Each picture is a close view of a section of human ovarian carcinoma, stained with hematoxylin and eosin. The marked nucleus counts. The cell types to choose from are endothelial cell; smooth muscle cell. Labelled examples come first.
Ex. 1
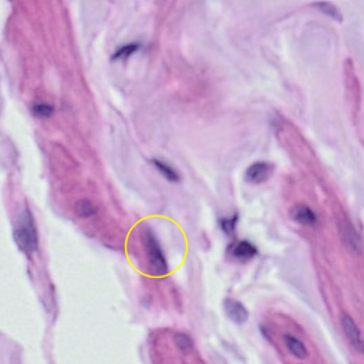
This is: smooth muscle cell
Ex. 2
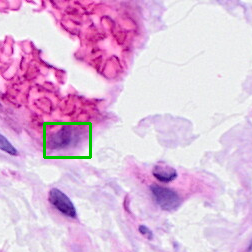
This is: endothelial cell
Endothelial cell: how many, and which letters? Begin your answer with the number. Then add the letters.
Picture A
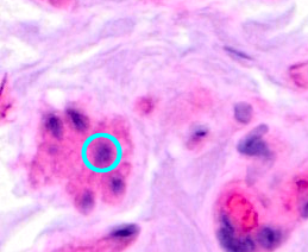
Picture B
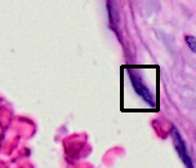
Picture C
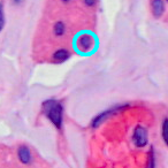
1, namely B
